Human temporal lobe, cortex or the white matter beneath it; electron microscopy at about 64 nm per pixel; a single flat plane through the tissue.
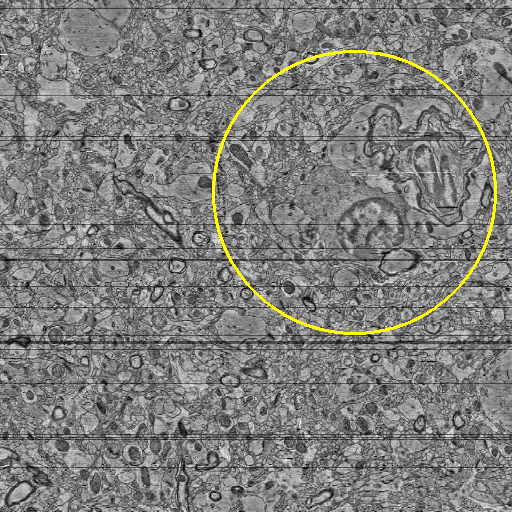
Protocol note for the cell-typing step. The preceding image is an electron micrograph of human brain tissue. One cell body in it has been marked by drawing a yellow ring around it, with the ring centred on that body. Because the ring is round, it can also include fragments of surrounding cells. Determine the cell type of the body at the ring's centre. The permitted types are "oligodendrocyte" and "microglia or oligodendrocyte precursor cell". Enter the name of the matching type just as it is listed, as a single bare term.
oligodendrocyte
